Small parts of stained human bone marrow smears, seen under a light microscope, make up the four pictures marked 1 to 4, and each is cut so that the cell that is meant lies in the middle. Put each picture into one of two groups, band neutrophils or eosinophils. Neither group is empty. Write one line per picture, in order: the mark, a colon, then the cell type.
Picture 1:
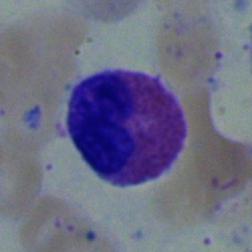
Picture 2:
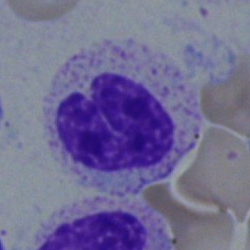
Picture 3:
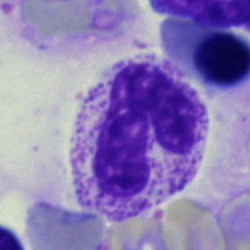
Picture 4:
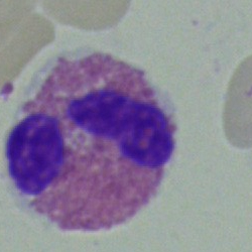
1: eosinophil
2: band neutrophil
3: band neutrophil
4: eosinophil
